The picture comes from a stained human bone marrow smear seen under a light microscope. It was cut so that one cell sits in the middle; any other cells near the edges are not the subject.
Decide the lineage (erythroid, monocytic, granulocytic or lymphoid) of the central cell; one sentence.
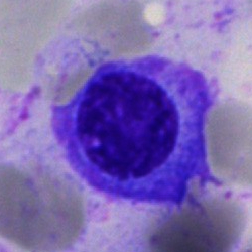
The cell at the very center of the crop belongs to the lymphoid lineage.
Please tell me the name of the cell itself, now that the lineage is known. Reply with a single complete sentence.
As for the cell in the middle, it is a plasma cell.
